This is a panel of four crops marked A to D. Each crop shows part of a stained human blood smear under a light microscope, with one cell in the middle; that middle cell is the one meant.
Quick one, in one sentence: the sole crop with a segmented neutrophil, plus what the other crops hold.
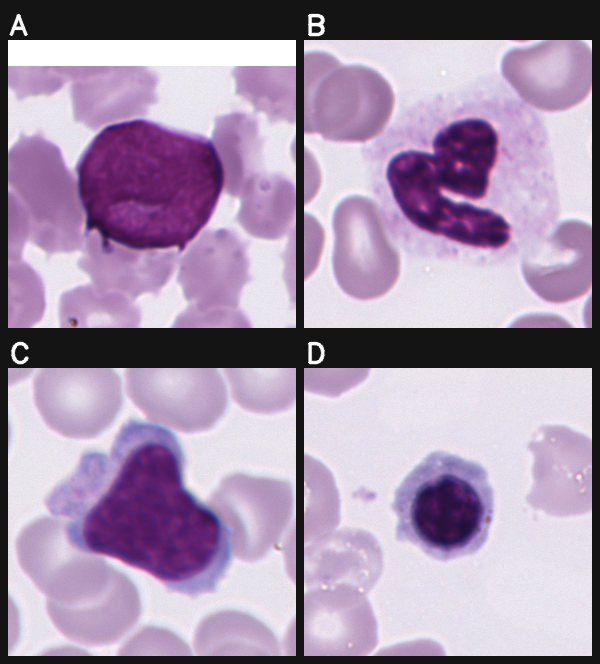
Crop B holds a segmented neutrophil at its centre, while crop A is a myeloblast, crop C is a typical lymphocyte and crop D is a normoblast.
